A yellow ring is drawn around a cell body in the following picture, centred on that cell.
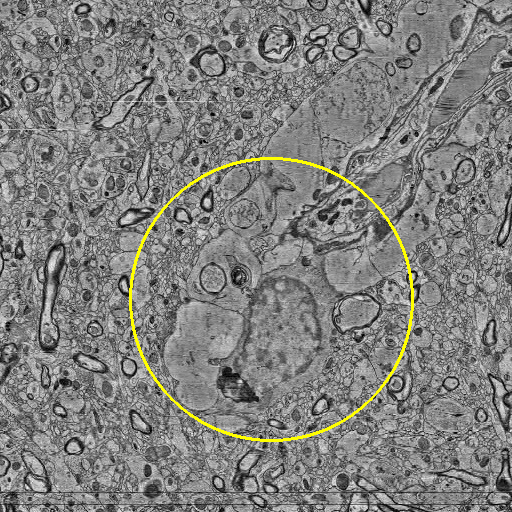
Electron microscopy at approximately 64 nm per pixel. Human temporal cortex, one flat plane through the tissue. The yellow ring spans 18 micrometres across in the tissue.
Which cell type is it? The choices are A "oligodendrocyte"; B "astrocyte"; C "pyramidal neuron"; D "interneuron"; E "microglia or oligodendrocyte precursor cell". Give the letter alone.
A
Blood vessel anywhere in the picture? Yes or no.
Yes, a vessel appears in the picture.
